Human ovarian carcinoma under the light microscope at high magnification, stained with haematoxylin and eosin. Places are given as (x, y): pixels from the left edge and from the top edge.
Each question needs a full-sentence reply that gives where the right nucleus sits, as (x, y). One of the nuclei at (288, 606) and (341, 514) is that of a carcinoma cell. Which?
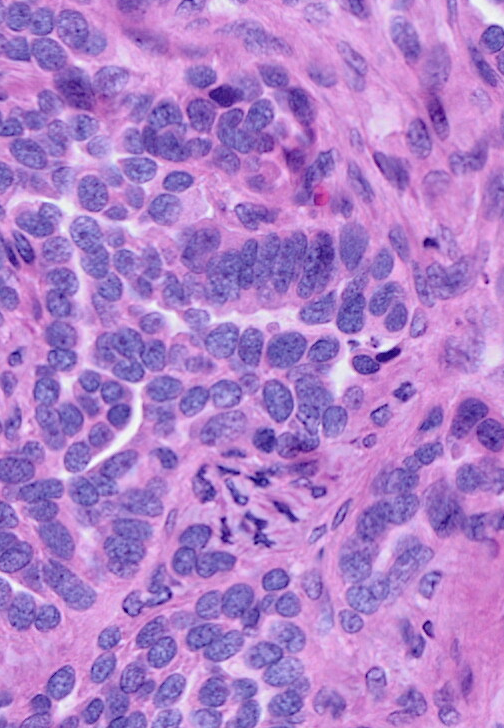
The nucleus whose cell is a carcinoma cell is the one at (288, 606).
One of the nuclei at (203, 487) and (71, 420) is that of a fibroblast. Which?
Among the two nuclei, the one lying at (203, 487) is part of a fibroblast.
